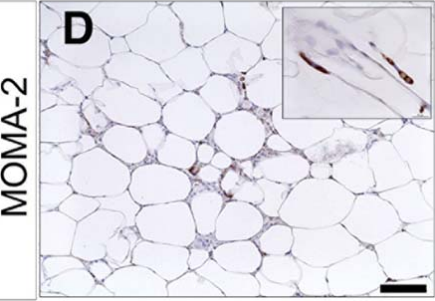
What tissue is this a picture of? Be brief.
Adipose tissue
